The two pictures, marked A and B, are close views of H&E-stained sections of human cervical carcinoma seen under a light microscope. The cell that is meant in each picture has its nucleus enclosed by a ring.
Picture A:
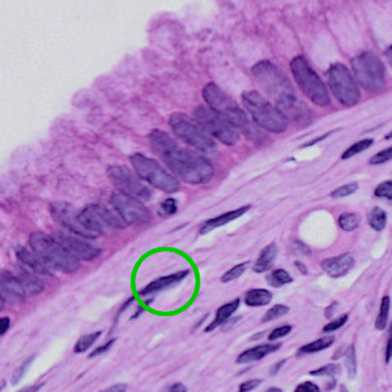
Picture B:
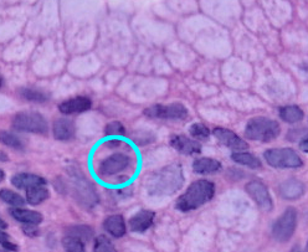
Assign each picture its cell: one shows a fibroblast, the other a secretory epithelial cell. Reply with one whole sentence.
Picture A is of a fibroblast, and picture B is of a secretory epithelial cell.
